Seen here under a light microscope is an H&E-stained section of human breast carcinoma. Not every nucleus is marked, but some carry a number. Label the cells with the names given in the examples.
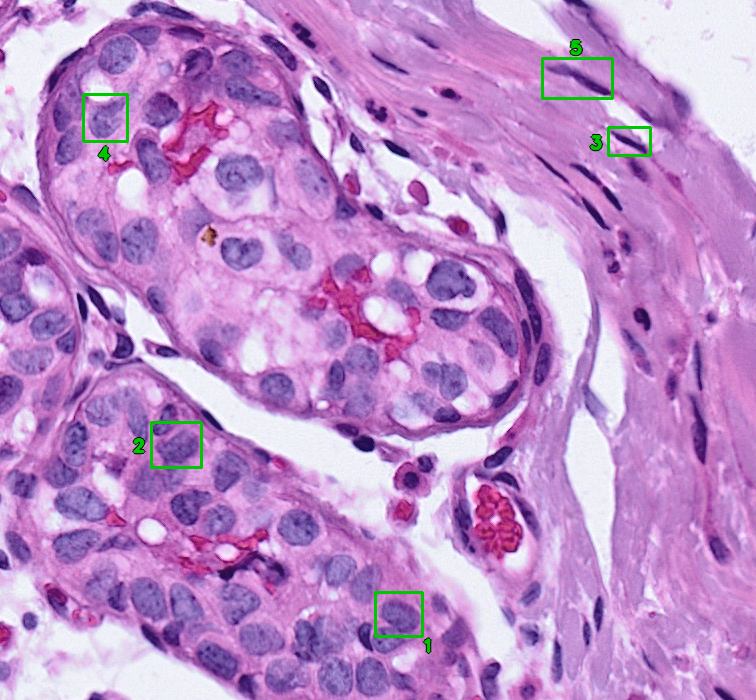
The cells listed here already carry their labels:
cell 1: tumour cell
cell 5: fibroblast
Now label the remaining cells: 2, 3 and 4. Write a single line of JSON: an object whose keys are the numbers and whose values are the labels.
{"2": "tumour cell", "3": "fibroblast", "4": "tumour cell"}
